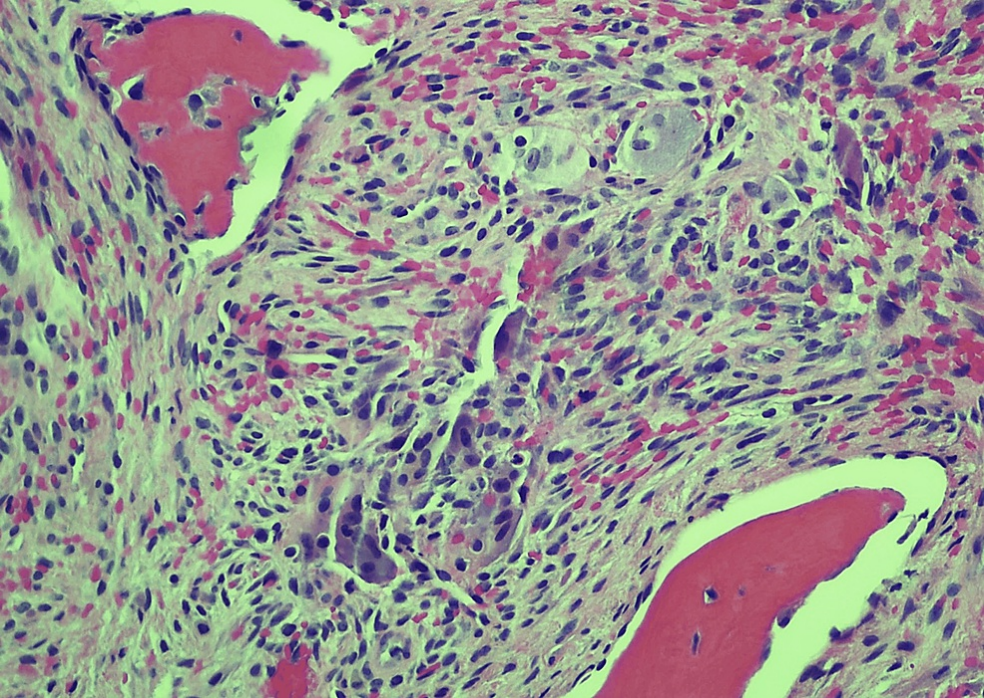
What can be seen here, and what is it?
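This is a cellular lesion made mostly of bland spindled cells, with multinucleated giant cells scattered among them. The spindle cells have oval to elongated dark purple nuclei of fairly even size and run in loose, streaming bundles. The giant cells are much larger and hold clusters of many nuclei. Some giant cells have pale cytoplasm, as in the upper middle, while others are darker, as in the center. Many small bright red blood cells are scattered through the stroma, especially toward the upper right. Trabeculae of dense pink bone lie in the upper left and lower right corners. These trabeculae contain a few lacunae and are edged by a clear space.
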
